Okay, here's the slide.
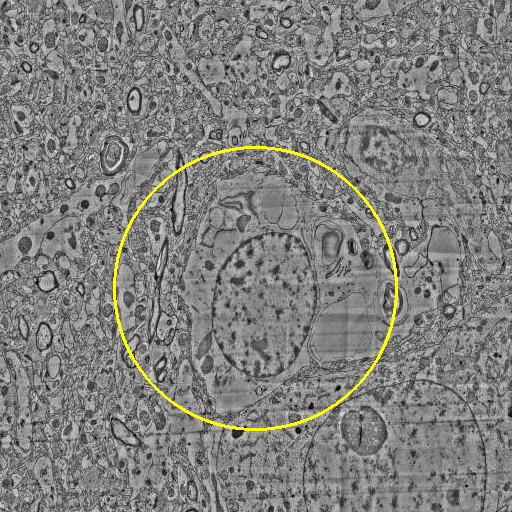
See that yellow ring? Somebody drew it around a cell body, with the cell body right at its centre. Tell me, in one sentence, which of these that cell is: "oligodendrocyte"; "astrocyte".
The cell in the middle of the ring is an astrocyte.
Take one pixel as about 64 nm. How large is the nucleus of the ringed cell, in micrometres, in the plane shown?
Roughly 9 micrometres by 7 micrometres, in this plane.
